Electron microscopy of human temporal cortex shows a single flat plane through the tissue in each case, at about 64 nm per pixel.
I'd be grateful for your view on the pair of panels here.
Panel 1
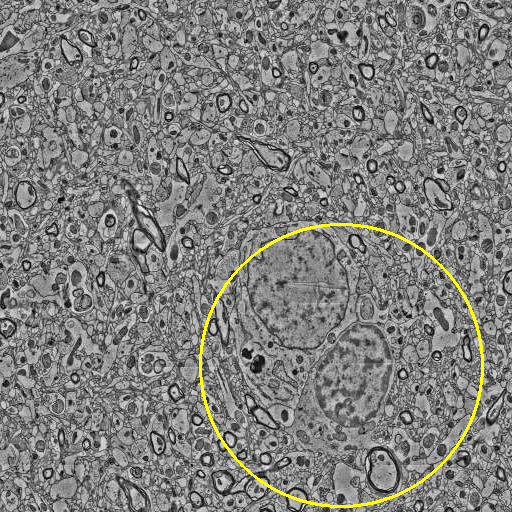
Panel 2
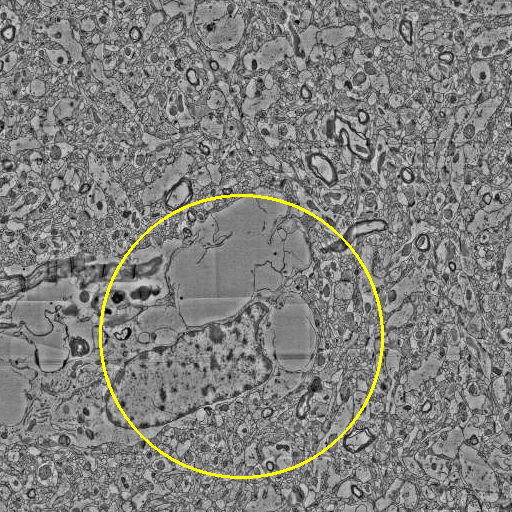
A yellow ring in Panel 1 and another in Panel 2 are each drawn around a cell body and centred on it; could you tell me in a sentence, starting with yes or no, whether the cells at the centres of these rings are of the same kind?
No, they are two kinds of cell.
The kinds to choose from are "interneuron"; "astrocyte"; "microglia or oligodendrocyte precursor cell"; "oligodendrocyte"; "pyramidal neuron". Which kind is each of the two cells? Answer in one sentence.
Of the two, the first cell is an oligodendrocyte and the second cell is a microglial cell or oligodendrocyte precursor cell.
